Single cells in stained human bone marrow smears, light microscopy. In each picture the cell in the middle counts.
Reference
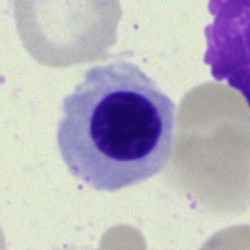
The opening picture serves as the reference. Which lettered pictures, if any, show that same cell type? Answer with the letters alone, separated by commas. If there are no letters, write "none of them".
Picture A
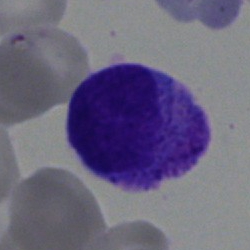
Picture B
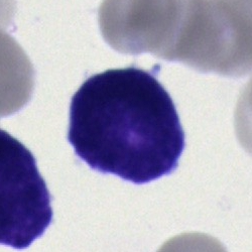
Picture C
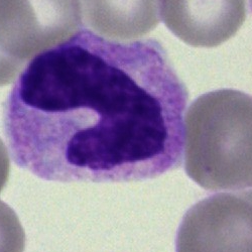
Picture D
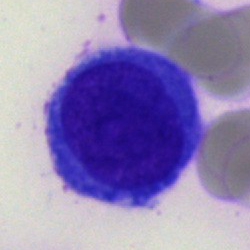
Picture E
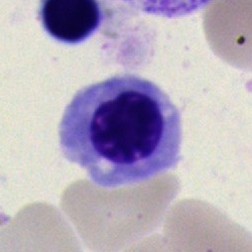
E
